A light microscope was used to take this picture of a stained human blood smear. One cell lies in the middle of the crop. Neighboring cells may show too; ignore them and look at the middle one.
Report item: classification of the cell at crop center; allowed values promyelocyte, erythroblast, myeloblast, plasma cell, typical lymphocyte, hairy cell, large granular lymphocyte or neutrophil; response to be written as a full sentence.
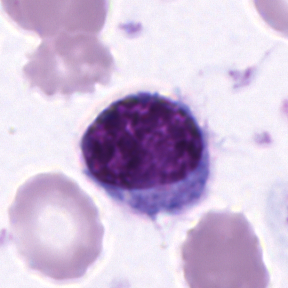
Framed in the middle of the crop is a plasma cell.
